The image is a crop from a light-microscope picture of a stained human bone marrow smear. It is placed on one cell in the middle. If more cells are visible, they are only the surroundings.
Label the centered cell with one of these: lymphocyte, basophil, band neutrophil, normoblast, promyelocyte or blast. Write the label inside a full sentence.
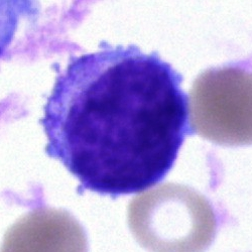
Seen at the centre of the crop is a blast.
